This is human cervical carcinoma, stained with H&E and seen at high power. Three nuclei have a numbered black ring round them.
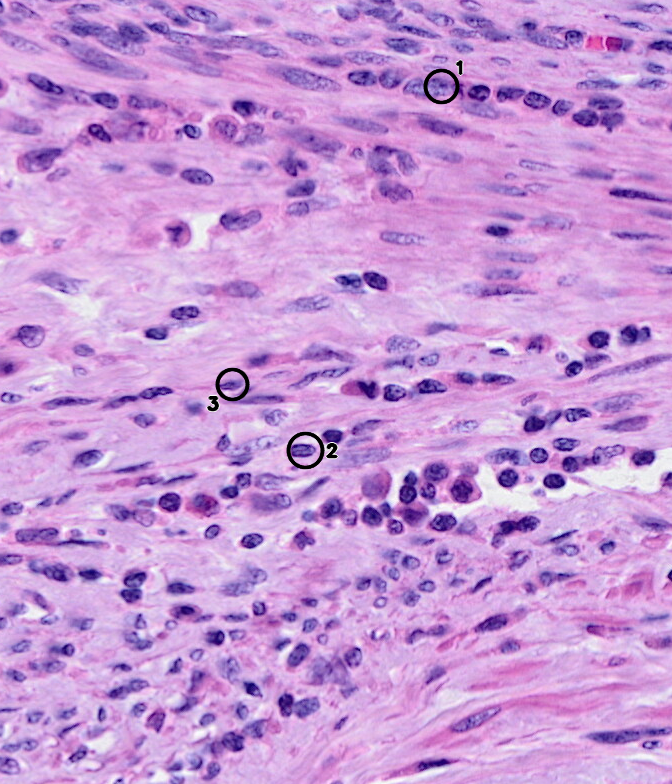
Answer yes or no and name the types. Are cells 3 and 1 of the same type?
No, cell 3 is a fibroblast and cell 1 is an endothelial cell.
